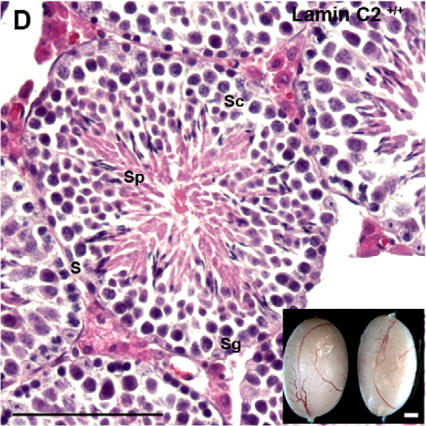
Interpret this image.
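This is a cross-section of a seminiferous tubule of the testis, packed with germ cells at successive stages. Along the outer wall sit small cells and flattened somatic cells; inward lie larger round spermatocytes with dense, patterned chromatin. Toward the centre, spermatids with small dark, elongated heads and pink tails stream into the lumen in a radiating pattern. Between tubules lies pink-staining interstitial tissue.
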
